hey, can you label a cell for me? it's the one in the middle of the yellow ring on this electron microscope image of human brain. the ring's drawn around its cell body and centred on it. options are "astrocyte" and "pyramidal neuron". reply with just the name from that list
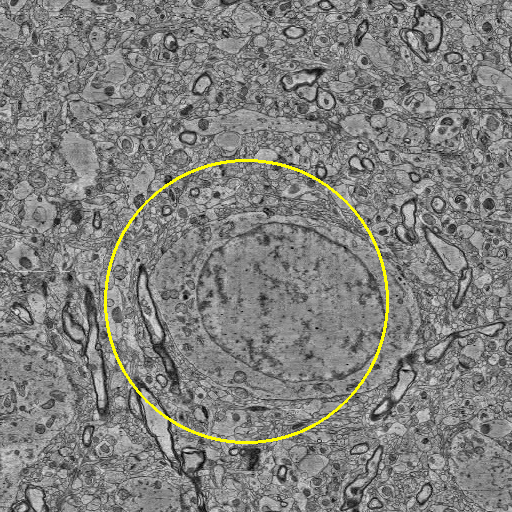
pyramidal neuron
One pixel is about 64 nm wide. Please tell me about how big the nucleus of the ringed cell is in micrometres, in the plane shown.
In this plane, approximately 13 by 10 micrometers.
